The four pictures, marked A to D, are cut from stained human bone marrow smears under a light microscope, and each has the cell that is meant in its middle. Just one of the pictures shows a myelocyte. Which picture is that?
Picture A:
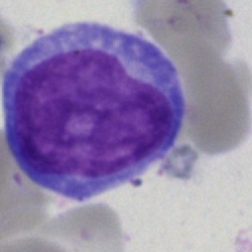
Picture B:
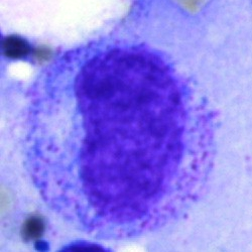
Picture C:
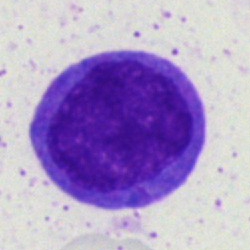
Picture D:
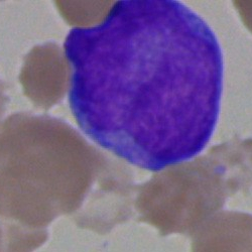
B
